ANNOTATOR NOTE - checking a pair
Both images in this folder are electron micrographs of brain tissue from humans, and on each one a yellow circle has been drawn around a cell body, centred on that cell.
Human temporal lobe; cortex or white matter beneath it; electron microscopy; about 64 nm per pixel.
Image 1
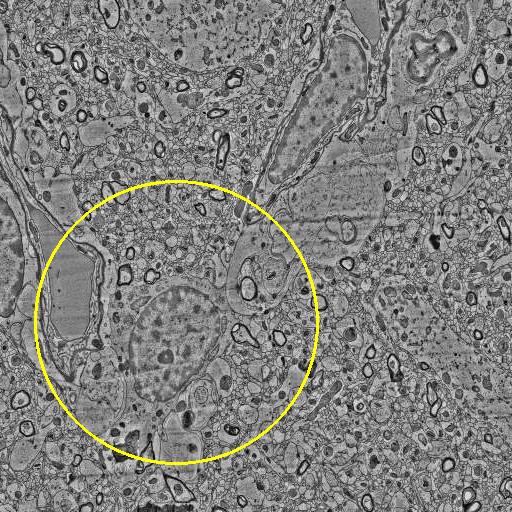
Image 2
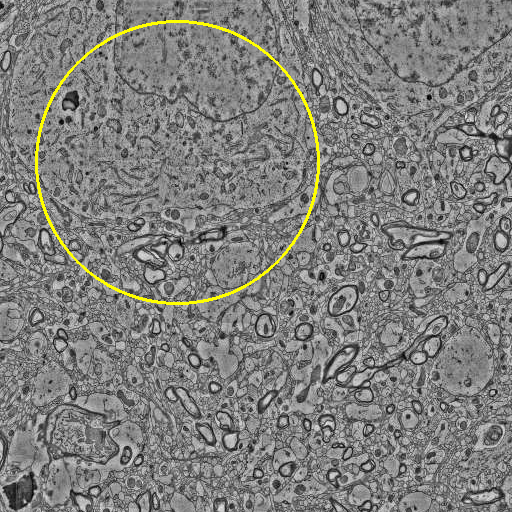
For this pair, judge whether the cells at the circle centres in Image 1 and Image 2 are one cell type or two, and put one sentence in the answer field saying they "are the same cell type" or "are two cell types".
For this pair, the cells at the circle centres in Images 1 and 2 are the same cell type.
